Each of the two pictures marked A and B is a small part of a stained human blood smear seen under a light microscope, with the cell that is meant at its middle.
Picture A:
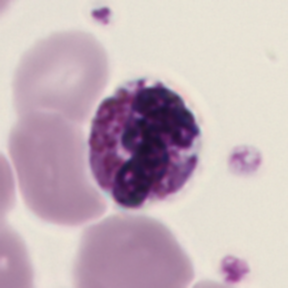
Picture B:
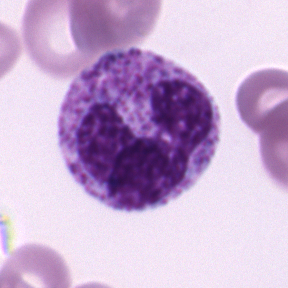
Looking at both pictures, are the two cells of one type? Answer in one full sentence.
Yes, the two pictures both show eosinophils.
